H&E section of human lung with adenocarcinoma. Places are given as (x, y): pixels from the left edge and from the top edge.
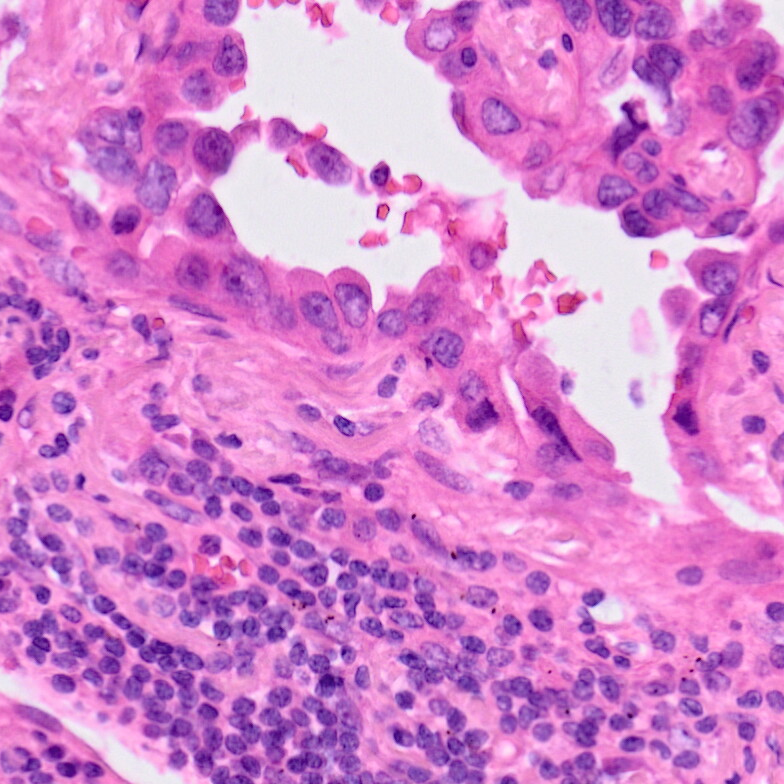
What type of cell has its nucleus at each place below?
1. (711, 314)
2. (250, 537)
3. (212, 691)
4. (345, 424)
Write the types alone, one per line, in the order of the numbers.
carcinoma cell
lymphocyte
lymphocyte
lymphocyte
